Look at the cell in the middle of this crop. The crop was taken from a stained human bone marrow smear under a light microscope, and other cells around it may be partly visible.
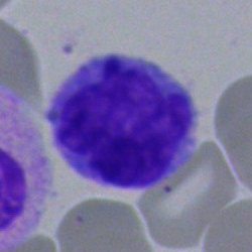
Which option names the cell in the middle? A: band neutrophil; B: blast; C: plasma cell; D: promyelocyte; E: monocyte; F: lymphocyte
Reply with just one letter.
E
